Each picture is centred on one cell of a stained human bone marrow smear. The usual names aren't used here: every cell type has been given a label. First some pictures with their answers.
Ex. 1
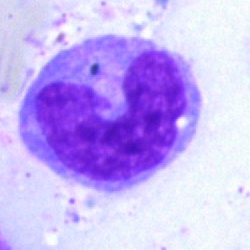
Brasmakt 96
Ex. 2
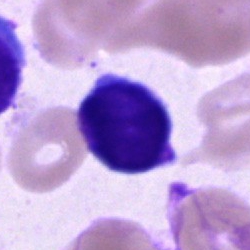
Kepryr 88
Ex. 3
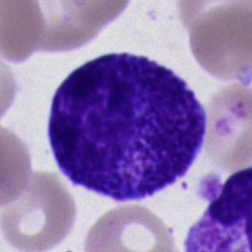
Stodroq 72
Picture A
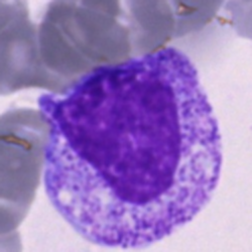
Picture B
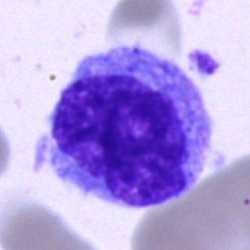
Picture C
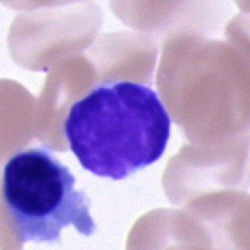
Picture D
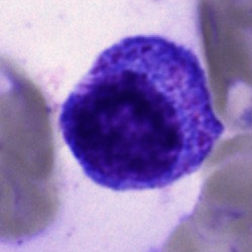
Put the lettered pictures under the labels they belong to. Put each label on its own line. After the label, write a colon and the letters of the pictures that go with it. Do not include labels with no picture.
Brasmakt 96: B
Kepryr 88: C
Stodroq 72: A, D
